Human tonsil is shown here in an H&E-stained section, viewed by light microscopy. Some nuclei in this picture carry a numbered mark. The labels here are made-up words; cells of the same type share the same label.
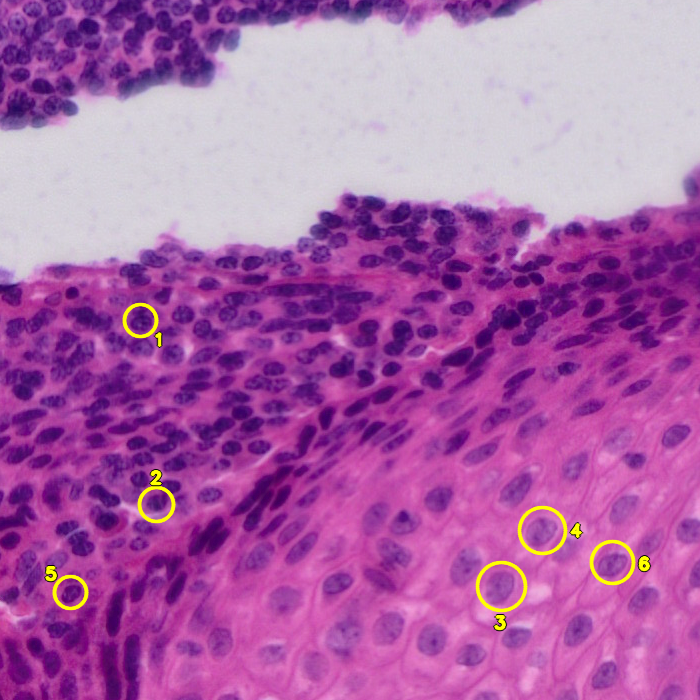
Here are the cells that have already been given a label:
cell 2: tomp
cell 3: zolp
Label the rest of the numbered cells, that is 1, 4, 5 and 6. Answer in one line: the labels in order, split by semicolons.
tomp; zolp; tomp; zolp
